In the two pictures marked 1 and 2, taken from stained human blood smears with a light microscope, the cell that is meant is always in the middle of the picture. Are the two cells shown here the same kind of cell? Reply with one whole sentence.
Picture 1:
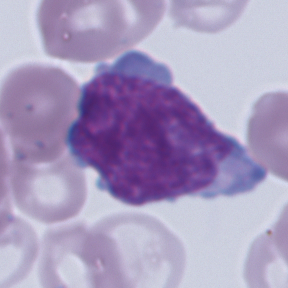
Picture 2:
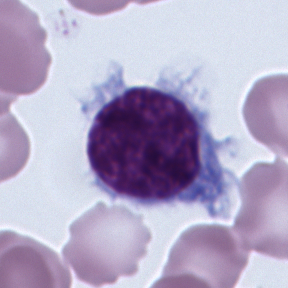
No, the types are not the same, since picture 1 shows a myeloblast and picture 2 a hairy cell.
